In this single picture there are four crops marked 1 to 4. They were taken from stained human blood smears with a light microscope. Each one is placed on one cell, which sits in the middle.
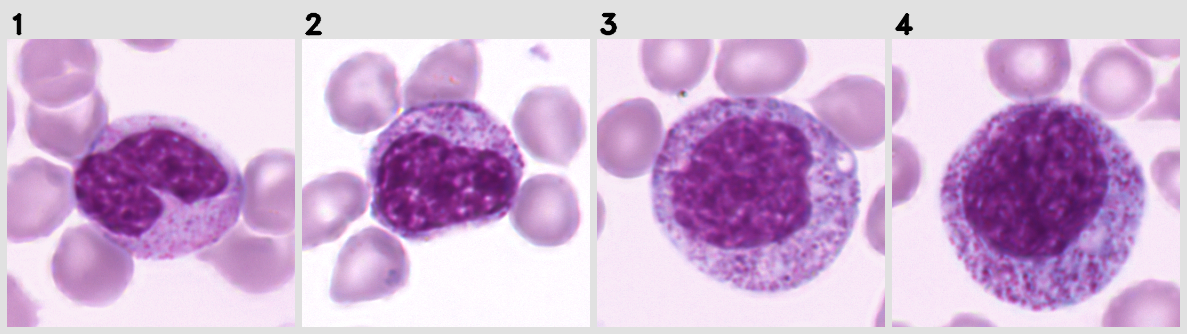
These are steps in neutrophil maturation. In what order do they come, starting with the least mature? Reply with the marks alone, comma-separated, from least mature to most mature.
4, 3, 2, 1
